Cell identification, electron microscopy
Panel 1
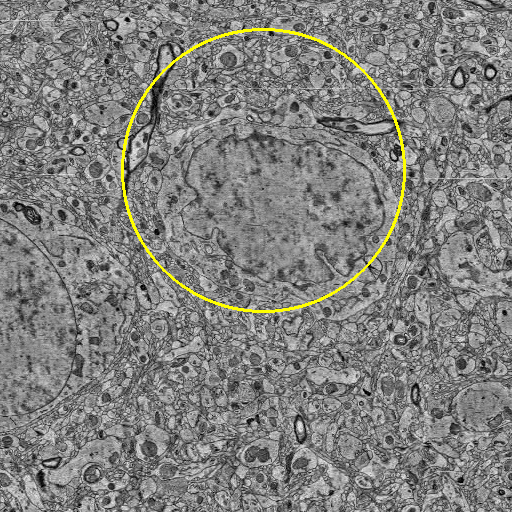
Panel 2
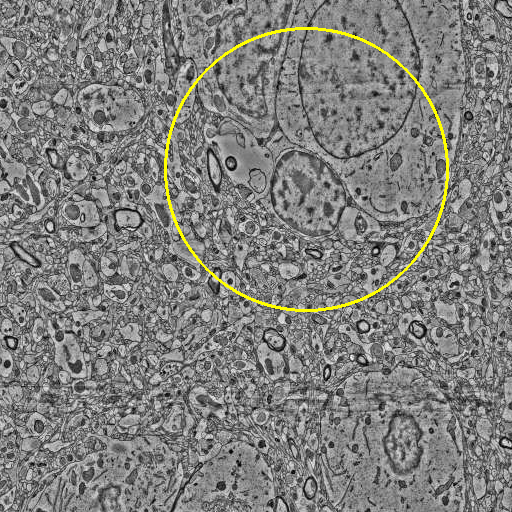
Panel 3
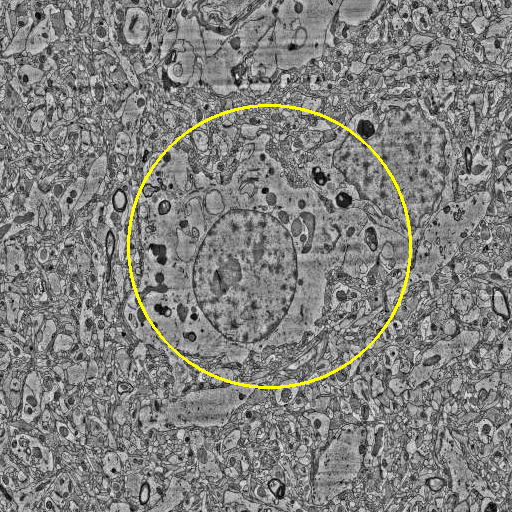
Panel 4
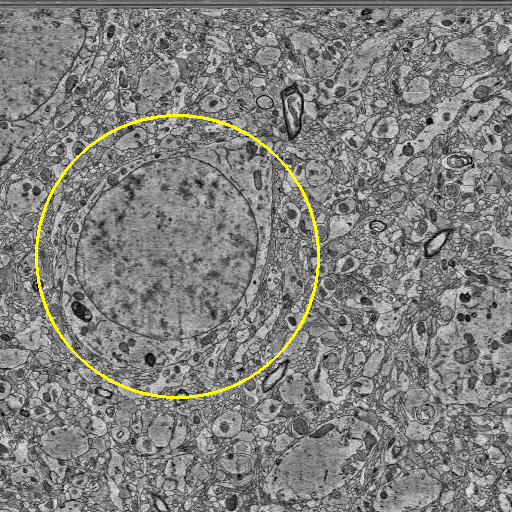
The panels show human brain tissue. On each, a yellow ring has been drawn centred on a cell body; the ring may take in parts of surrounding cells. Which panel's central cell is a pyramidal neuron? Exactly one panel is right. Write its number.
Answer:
4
